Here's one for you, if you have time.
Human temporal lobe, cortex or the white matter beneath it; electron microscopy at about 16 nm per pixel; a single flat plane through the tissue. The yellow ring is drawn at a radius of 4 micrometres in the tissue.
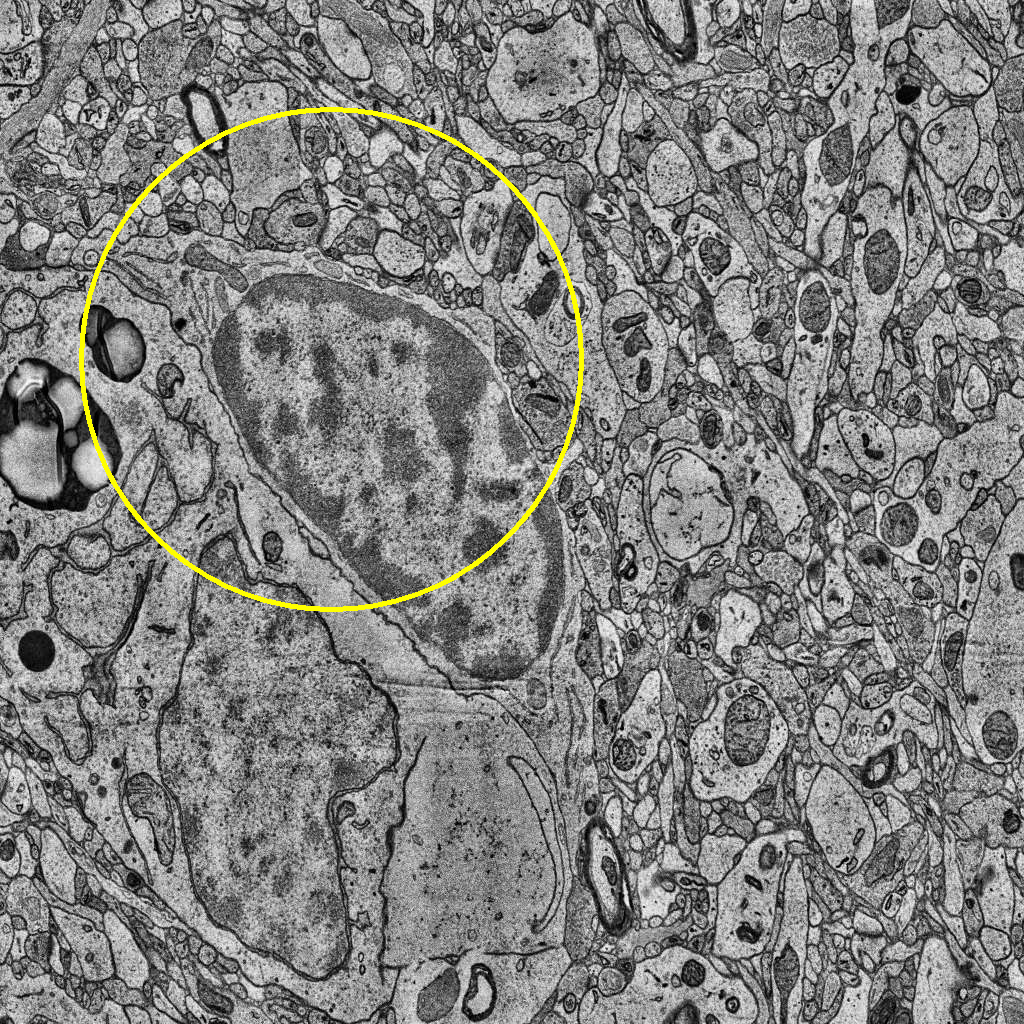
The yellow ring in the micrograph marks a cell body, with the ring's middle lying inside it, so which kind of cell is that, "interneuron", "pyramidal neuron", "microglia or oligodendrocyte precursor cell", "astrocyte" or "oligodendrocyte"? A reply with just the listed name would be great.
microglia or oligodendrocyte precursor cell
